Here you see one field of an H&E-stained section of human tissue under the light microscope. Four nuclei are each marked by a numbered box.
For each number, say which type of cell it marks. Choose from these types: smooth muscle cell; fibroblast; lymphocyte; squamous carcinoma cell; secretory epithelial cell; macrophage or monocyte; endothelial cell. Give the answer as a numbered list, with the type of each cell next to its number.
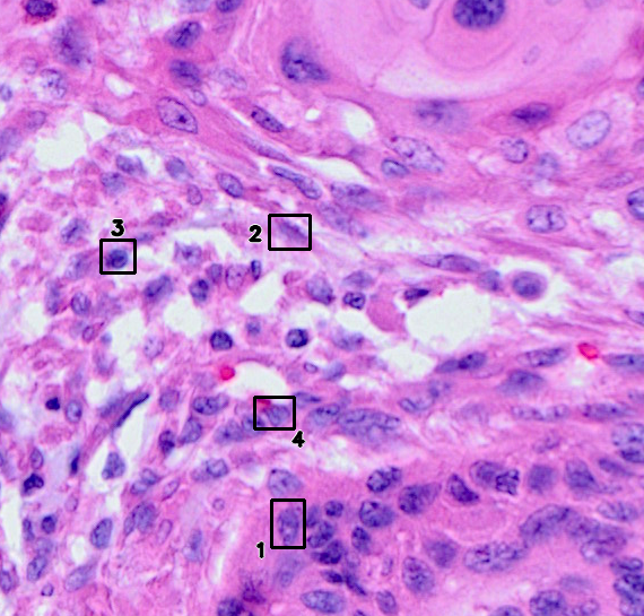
1. squamous carcinoma cell
2. fibroblast
3. lymphocyte
4. endothelial cell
